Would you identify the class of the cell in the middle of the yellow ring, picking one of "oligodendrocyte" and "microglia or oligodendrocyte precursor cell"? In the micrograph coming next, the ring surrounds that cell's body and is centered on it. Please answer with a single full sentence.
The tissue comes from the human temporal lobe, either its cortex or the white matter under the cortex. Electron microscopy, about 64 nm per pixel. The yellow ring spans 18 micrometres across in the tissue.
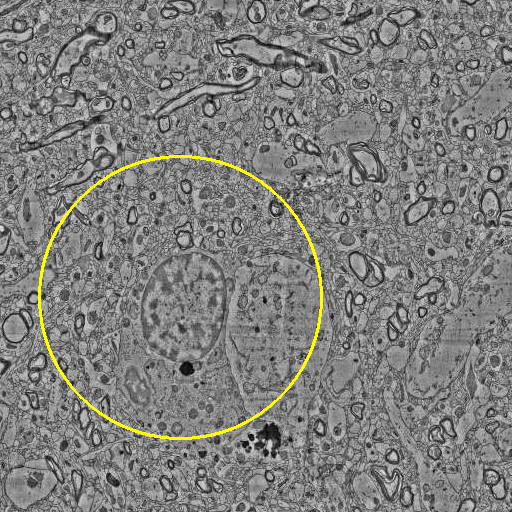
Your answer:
In the micrograph, it is an oligodendrocyte whose body lies at the ring's center.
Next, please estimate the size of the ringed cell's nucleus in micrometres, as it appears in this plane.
The nucleus of the ringed cell is approximately 7 by 5 micrometres in this plane.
